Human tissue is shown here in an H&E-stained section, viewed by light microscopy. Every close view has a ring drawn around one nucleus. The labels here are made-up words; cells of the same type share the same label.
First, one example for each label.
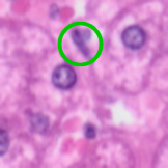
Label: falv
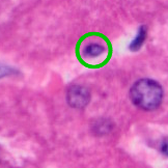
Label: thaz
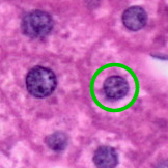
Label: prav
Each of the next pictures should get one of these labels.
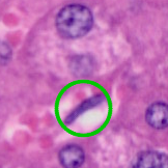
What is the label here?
falv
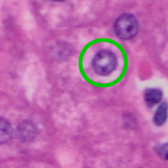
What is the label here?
prav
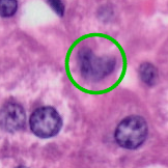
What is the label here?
falv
